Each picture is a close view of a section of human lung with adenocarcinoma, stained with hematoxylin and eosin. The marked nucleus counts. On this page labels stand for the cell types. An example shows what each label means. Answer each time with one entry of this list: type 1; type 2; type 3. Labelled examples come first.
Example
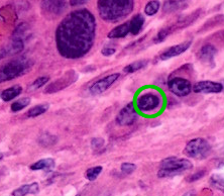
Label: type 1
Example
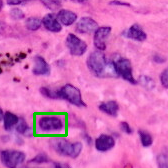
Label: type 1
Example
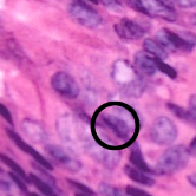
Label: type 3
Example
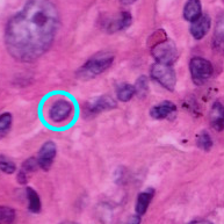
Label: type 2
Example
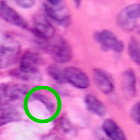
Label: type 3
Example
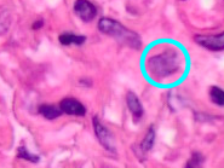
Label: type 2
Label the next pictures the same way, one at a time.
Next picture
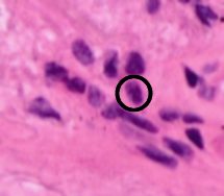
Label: type 1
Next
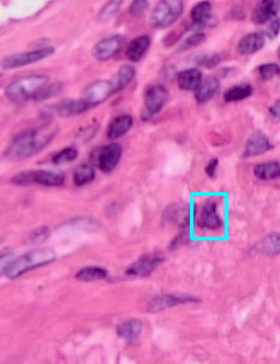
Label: type 1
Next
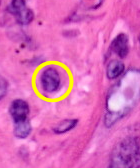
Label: type 1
